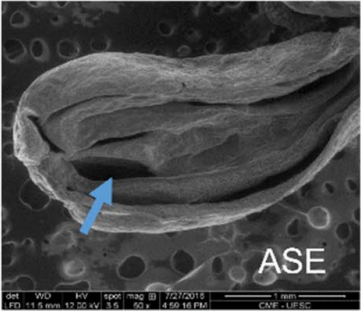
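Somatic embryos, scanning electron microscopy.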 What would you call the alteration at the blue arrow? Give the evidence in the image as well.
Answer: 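A dark elongated gap opens inside the body of the embryo where the arrow points. The gap runs lengthwise between folded tissue layers.
Hence: cavities formation.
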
